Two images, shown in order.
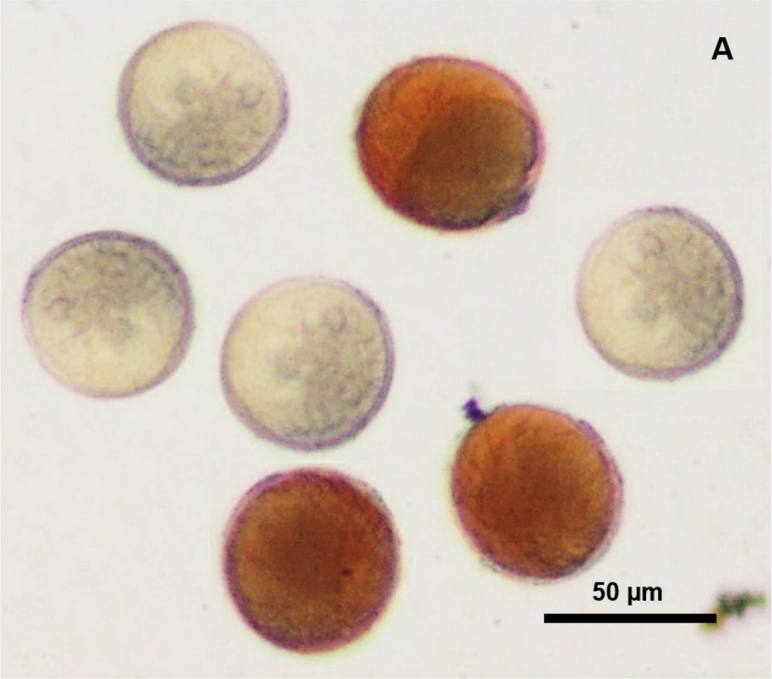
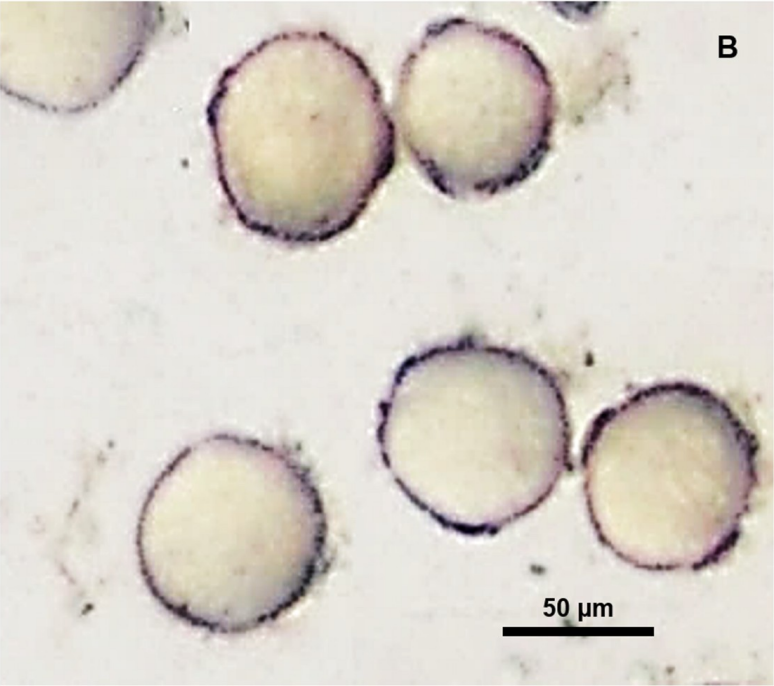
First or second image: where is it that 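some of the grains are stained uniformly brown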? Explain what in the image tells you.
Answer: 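Second image: all grains are pale cream, with only a dark rim at their edge.
Hence: the first image.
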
